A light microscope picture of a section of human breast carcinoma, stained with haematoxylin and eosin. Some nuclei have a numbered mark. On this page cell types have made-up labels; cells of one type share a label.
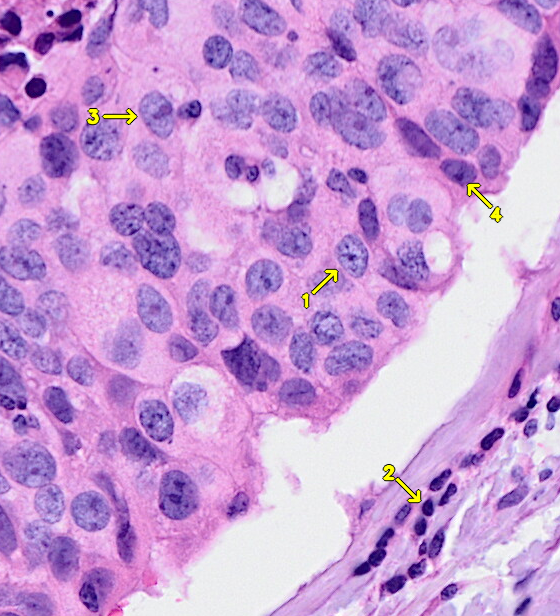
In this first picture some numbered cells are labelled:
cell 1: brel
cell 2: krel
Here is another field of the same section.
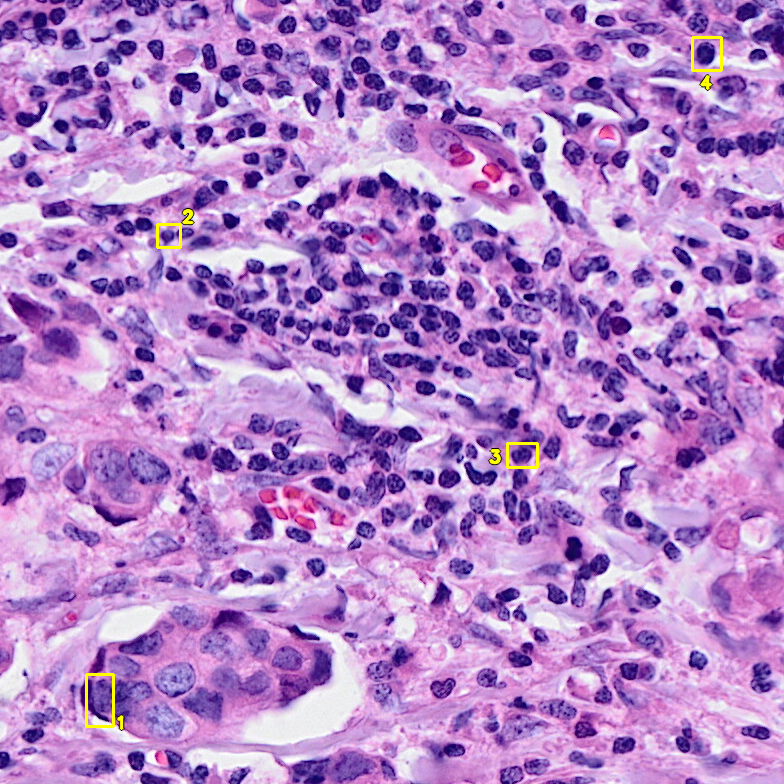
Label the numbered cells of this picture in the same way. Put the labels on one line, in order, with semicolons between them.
brel; krel; krel; krel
